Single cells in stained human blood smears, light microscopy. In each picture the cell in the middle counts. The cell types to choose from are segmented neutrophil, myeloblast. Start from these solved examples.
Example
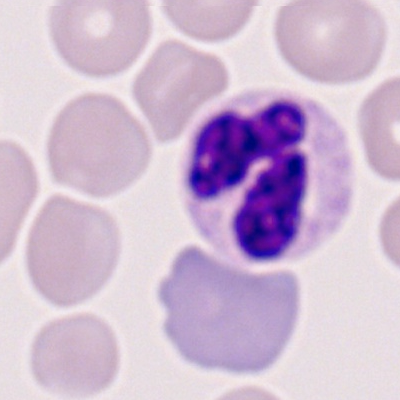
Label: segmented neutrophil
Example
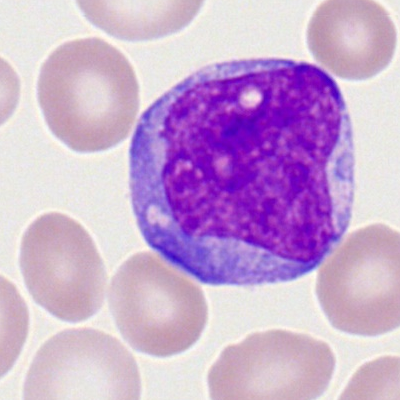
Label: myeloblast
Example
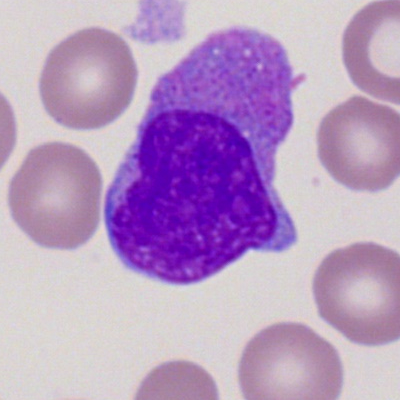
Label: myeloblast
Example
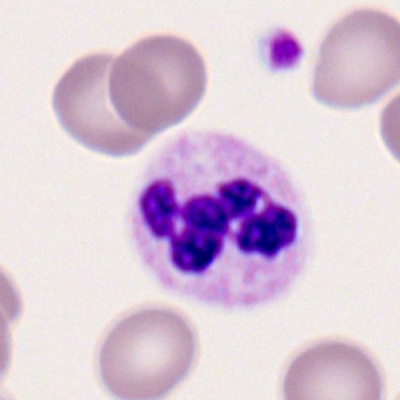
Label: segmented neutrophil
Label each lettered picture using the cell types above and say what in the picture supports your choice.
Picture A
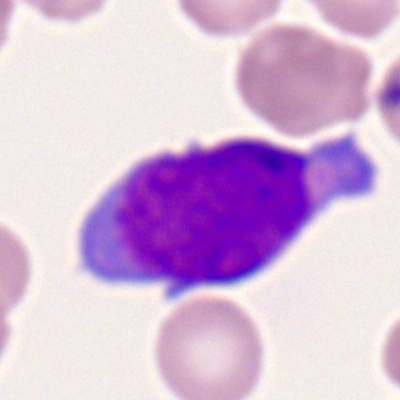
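myeloblast. The nucleus fills most of the cell.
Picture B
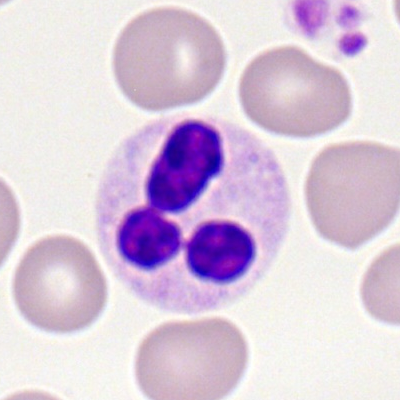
segmented neutrophil. The cytoplasm is plentiful and pale pinkish-lilac.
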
